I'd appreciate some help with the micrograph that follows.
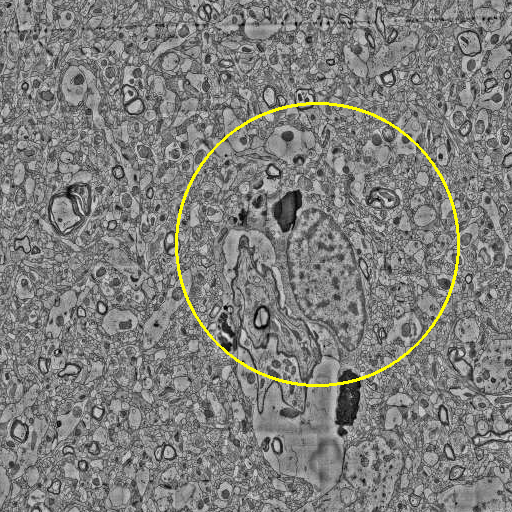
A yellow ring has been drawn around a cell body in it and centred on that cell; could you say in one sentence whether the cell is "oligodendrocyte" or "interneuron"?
It is an oligodendrocyte at the centre of the ring.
